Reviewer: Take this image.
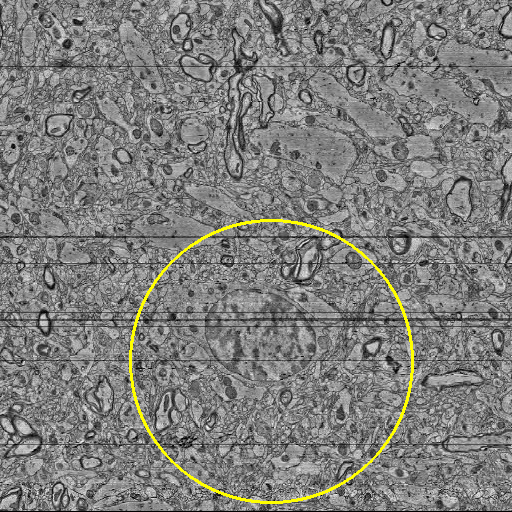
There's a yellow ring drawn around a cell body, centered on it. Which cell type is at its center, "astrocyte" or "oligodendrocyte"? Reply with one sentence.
At the center of the yellow ring is an oligodendrocyte.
